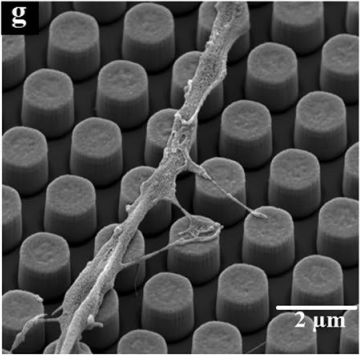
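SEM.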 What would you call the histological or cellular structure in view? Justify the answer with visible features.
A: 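A single thick process runs diagonally across the pillars. Short thin side branches leave it and reach toward neighbouring pillars.
Hence: protruding branches.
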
